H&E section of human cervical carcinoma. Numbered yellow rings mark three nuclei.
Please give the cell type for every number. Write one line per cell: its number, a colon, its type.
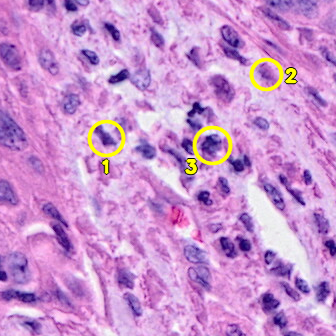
1: fibroblast
2: fibroblast
3: lymphocyte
